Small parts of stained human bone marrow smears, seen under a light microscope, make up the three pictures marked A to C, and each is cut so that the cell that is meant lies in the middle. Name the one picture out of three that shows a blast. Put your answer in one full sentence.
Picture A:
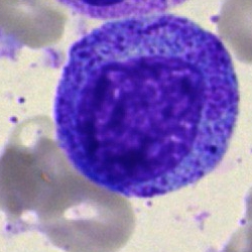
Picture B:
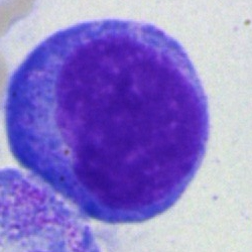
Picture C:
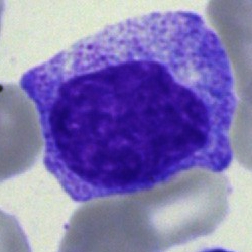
The cell in picture B is the blast.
